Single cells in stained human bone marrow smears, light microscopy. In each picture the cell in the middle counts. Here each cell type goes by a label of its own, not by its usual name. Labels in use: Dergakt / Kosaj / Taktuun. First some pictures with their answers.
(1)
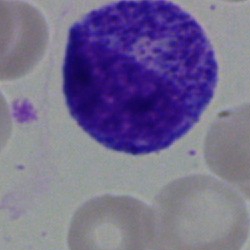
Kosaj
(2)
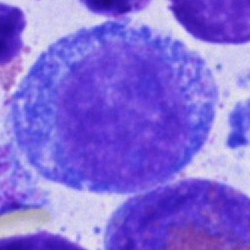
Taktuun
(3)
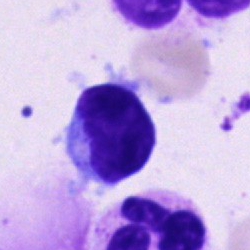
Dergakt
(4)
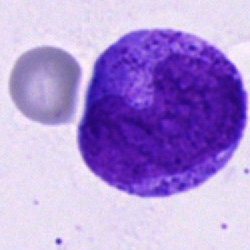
Taktuun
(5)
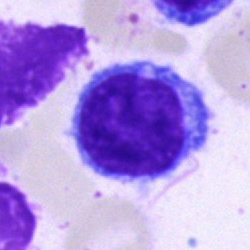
Dergakt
